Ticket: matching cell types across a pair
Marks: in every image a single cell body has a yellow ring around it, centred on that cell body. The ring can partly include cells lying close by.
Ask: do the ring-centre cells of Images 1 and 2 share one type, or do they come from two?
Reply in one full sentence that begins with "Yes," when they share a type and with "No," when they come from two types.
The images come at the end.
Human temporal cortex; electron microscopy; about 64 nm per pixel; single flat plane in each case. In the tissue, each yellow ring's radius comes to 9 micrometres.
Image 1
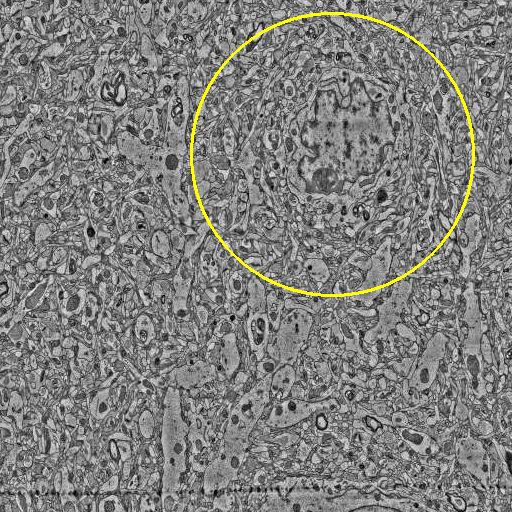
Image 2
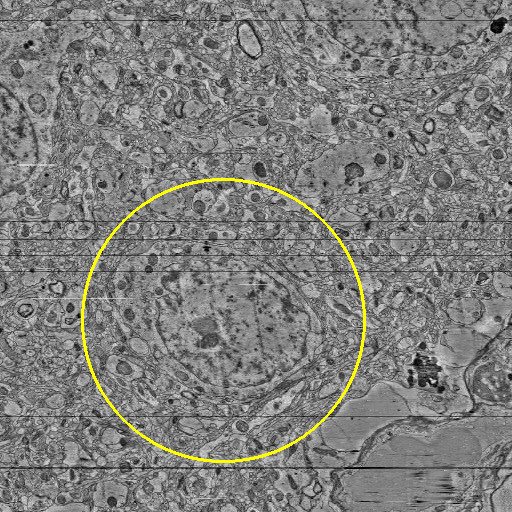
Yes, the cells in the centres of the rings in Image 1 and Image 2 share one type.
